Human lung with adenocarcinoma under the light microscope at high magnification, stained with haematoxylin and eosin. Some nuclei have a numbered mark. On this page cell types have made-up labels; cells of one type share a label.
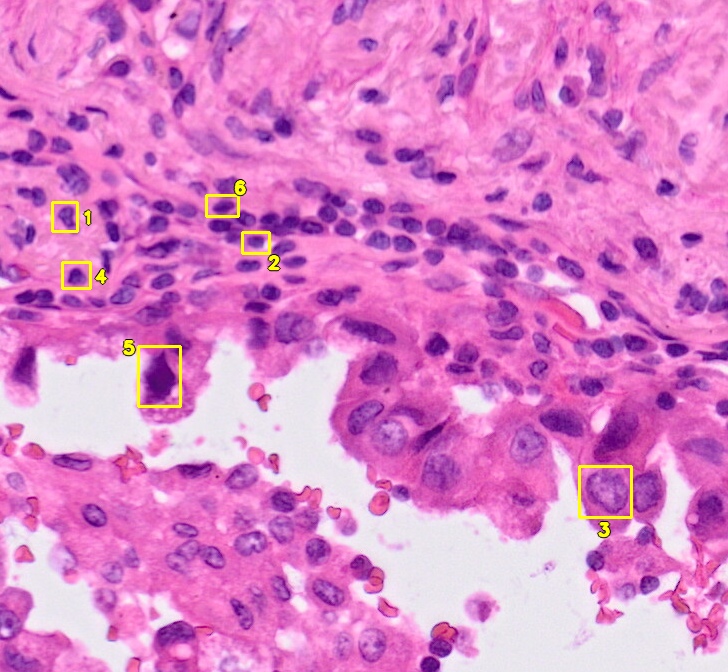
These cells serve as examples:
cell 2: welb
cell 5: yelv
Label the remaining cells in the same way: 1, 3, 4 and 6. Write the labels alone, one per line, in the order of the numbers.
welb
yelv
welb
welb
